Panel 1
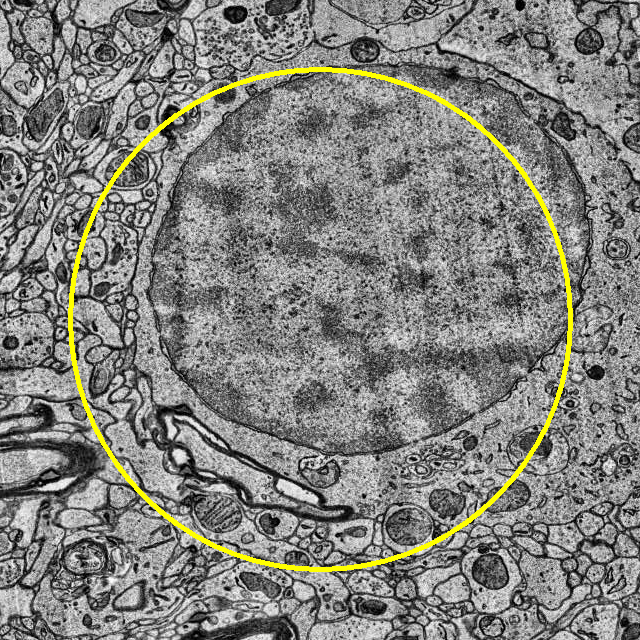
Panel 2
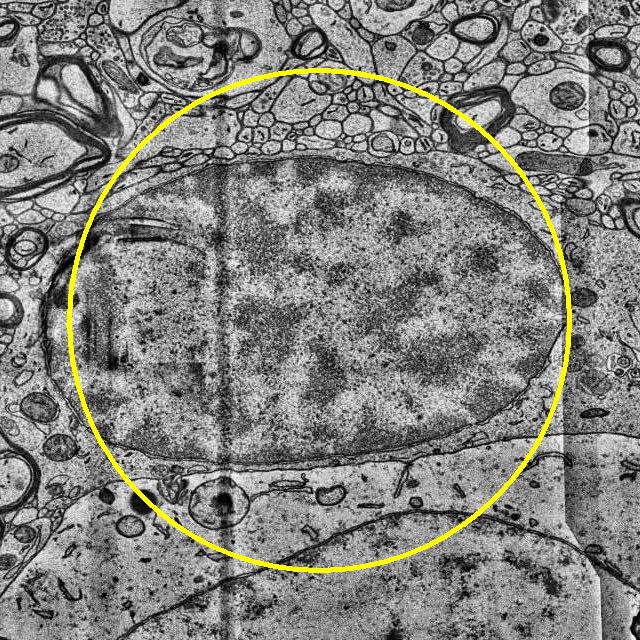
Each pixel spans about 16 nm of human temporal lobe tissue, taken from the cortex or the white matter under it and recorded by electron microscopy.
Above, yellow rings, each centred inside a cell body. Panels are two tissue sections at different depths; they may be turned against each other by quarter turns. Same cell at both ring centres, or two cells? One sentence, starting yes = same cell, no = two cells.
No, a single cell is not marked twice here; two cells are marked.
